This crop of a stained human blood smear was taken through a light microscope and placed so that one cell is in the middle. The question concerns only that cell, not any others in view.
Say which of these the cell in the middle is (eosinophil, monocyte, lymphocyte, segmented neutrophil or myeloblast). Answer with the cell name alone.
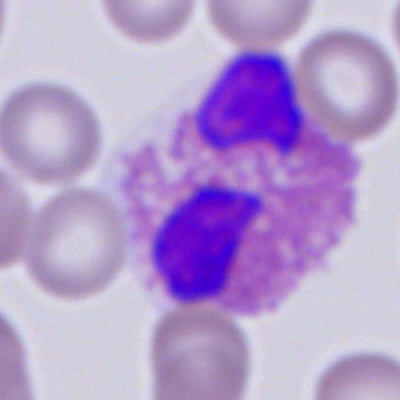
eosinophil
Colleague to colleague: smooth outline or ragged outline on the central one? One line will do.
The outer contour of the cell is irregular, with ragged portions or projections along it.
